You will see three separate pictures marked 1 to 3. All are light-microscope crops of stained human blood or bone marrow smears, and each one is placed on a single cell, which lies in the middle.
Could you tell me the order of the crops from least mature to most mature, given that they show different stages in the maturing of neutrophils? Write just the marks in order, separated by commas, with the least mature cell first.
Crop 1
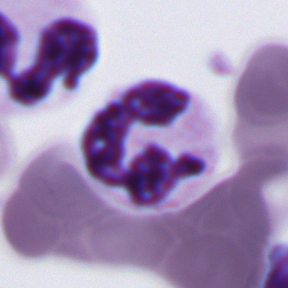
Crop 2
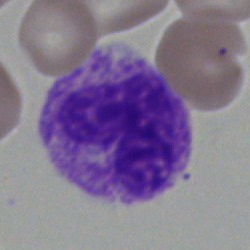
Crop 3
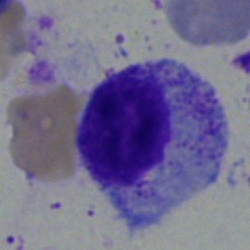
3, 2, 1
